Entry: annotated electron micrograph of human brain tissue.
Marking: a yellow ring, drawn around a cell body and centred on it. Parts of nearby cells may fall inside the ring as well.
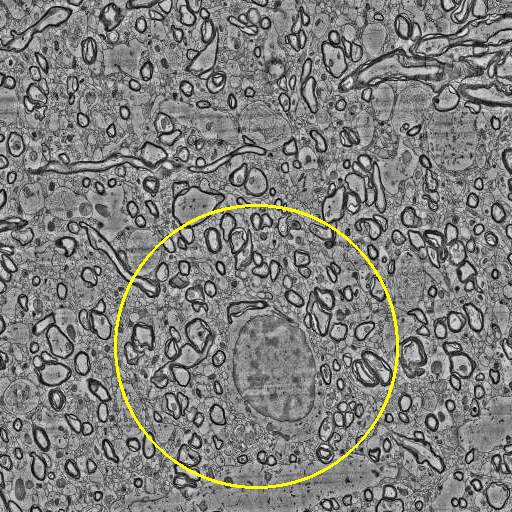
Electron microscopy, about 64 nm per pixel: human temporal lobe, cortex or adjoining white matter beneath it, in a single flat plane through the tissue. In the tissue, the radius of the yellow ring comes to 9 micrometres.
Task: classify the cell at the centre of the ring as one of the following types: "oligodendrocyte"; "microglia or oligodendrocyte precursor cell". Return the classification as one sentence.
The marked cell is classified as an oligodendrocyte.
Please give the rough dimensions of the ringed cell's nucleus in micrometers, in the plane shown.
In this plane, the nucleus is roughly 7 by 5 micrometres.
